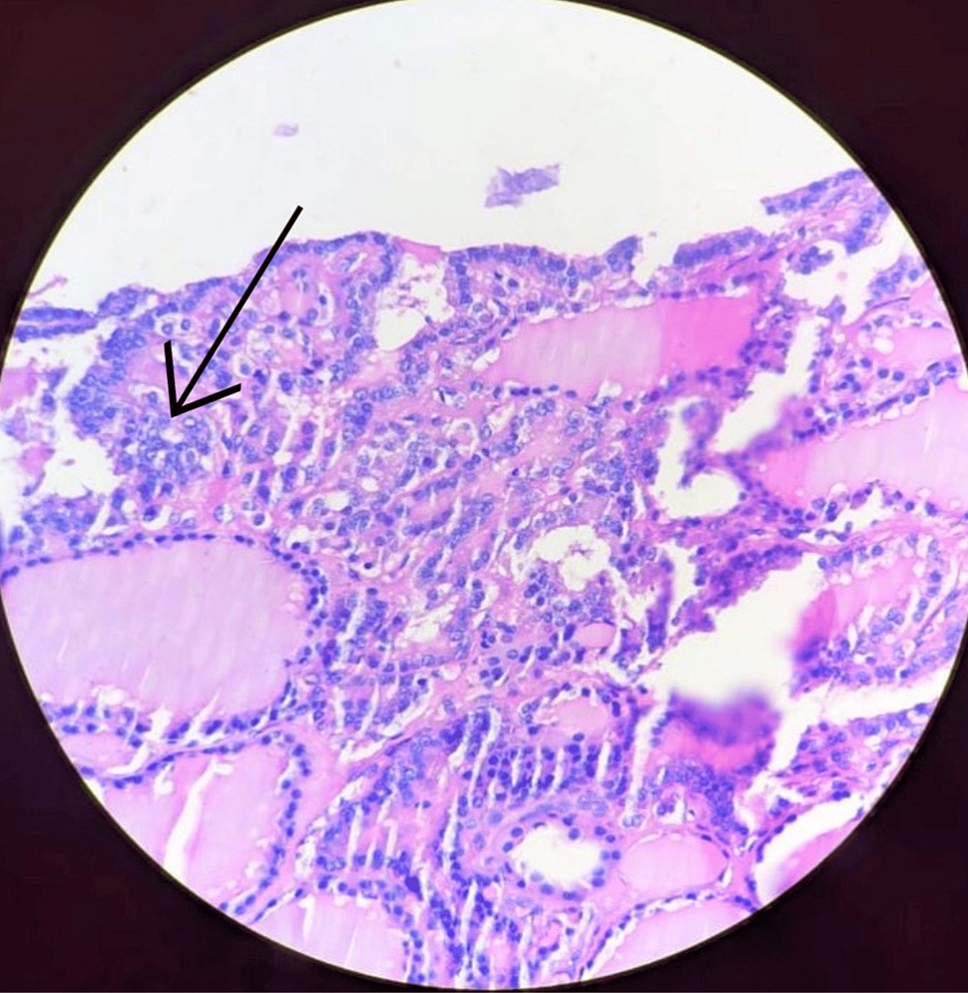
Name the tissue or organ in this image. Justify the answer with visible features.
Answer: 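Rounded follicles are filled with homogeneous pink colloid. The follicles are lined by a single layer of small cuboidal cells.
Thyroid.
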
